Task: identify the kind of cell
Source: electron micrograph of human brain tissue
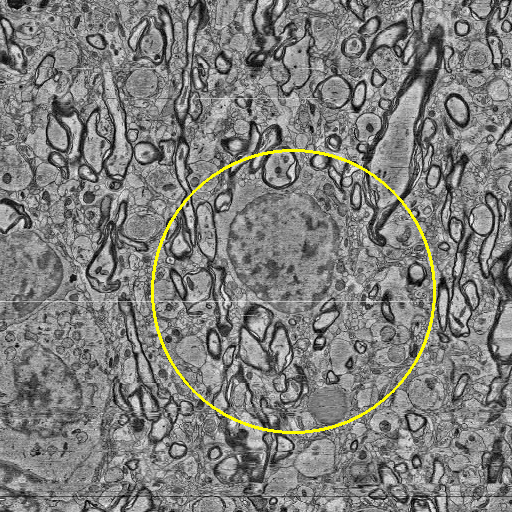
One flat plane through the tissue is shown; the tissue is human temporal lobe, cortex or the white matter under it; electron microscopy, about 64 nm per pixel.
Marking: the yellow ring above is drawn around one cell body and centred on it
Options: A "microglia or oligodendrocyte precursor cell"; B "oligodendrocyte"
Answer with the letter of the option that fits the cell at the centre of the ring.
B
